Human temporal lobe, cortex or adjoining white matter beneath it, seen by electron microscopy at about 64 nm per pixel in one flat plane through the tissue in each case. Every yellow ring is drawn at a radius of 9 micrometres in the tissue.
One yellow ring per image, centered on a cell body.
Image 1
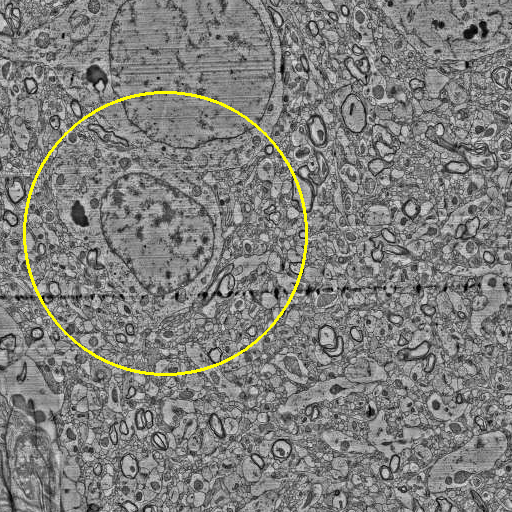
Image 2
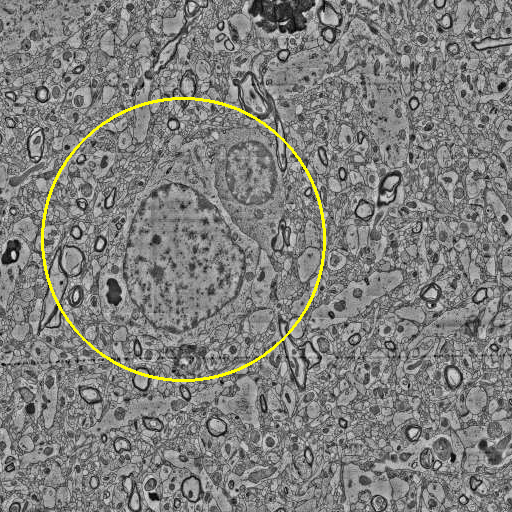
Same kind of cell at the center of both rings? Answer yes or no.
yes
